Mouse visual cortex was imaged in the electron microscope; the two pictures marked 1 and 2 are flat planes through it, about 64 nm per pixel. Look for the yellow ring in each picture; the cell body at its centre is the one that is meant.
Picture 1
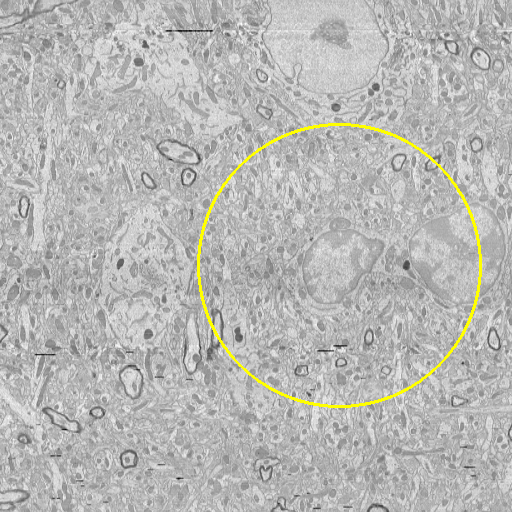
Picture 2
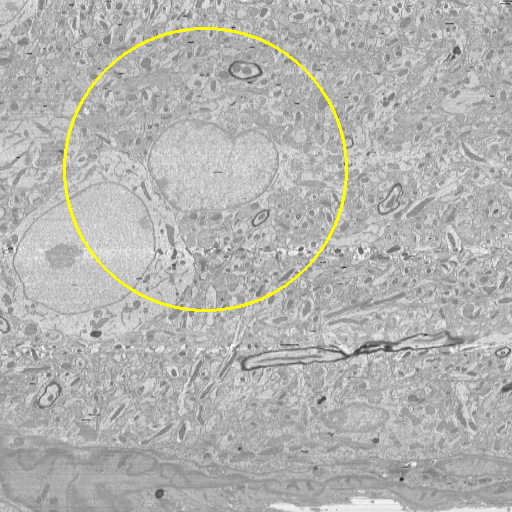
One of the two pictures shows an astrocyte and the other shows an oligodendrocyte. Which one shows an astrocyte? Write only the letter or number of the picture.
2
